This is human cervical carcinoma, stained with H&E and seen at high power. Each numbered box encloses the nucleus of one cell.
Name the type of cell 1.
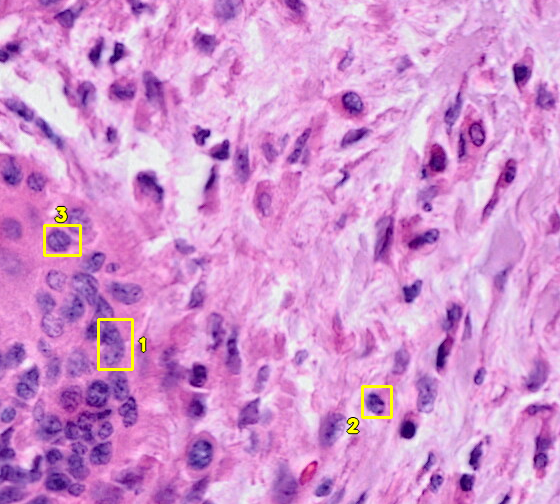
squamous carcinoma cell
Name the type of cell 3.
squamous carcinoma cell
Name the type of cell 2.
lymphocyte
